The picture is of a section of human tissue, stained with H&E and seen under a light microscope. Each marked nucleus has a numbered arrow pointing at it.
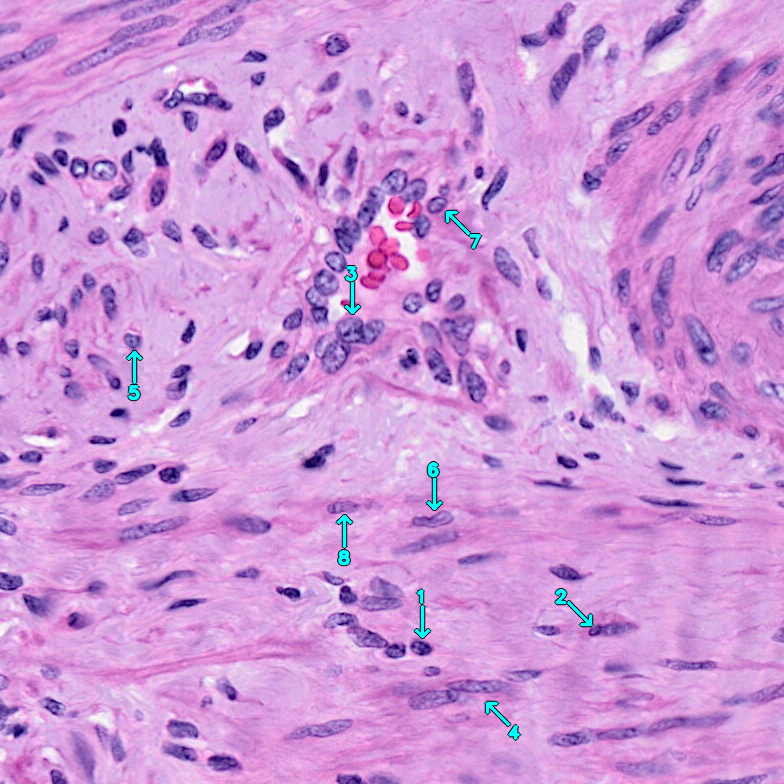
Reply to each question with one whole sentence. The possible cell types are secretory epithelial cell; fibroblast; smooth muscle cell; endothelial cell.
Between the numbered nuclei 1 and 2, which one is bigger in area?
The larger nucleus is 1, at roughly 2.5 times the area of 2.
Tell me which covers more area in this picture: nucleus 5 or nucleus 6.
The larger nucleus is 6, at roughly 2 times the area of 5.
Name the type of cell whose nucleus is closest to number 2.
The nucleus nearest to number 2 is that of a smooth muscle cell.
